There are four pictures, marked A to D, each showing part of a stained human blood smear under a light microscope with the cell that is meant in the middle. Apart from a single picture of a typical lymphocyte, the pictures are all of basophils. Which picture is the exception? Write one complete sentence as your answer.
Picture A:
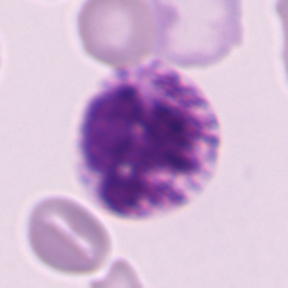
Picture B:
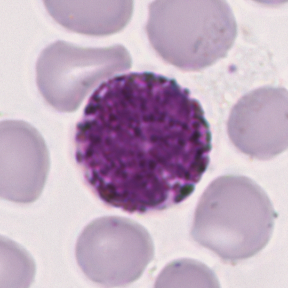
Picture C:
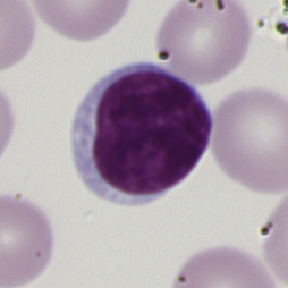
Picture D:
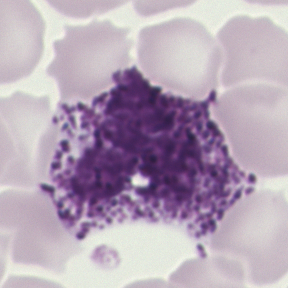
Picture C shows the typical lymphocyte.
